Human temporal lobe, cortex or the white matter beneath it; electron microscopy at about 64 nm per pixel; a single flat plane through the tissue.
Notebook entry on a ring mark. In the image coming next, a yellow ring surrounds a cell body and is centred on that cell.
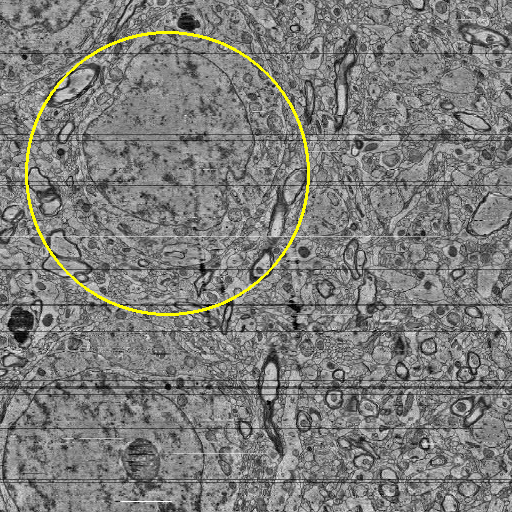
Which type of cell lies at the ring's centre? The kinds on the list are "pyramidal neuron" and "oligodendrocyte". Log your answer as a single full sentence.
Centred in the yellow ring is a pyramidal neuron, the cell recorded for this image.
